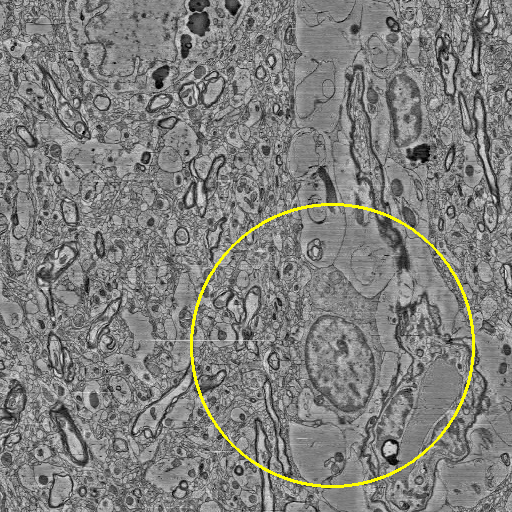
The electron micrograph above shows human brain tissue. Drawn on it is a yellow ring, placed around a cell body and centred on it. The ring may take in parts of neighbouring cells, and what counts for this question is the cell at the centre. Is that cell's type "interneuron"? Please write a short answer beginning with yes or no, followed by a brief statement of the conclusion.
No, its type is another one.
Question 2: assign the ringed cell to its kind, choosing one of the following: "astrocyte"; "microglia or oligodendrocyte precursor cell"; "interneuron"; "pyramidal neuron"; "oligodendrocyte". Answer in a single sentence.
Instead, the cell at the centre of the ring is an oligodendrocyte.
